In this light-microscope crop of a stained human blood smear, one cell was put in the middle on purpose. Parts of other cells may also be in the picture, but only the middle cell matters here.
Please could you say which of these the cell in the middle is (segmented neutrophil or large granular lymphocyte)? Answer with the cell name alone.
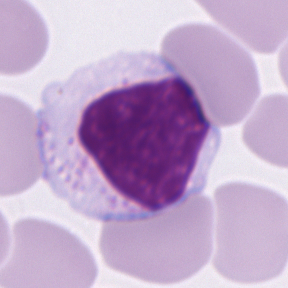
large granular lymphocyte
